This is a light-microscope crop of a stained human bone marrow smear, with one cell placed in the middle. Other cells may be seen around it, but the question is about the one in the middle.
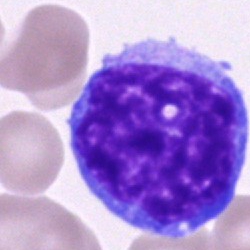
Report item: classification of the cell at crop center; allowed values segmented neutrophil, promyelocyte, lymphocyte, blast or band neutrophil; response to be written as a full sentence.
This particular crop is centered on a blast.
